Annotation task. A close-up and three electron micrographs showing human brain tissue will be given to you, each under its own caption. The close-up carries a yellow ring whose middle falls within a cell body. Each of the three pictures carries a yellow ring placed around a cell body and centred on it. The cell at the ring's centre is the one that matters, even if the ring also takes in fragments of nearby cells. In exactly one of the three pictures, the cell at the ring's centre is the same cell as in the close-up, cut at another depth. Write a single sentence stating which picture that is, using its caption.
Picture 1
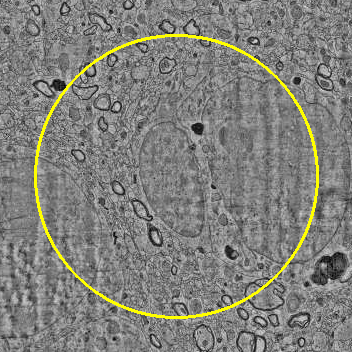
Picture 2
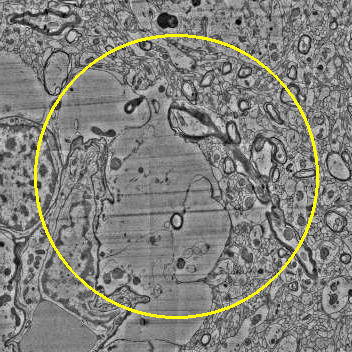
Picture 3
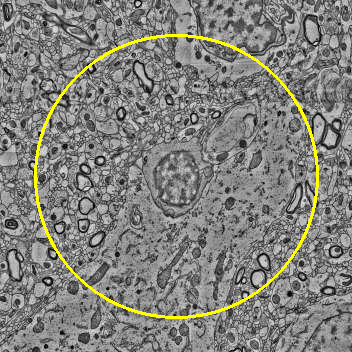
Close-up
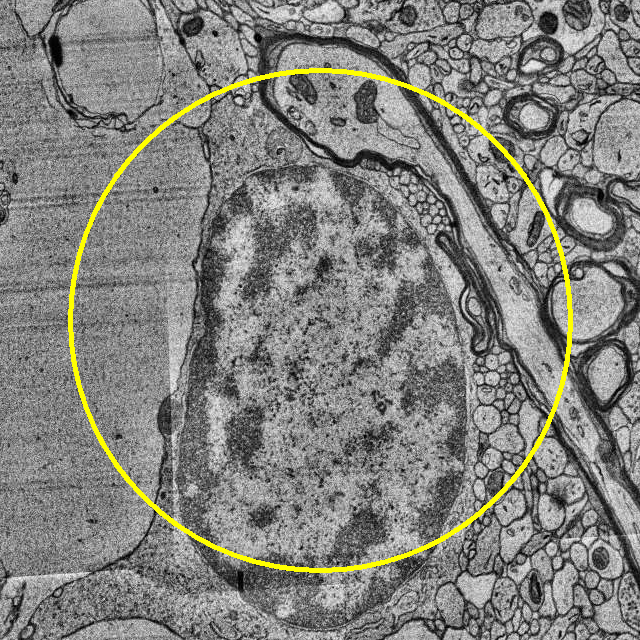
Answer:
Of all the ringed cells, the close-up shows the one in Picture 2.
